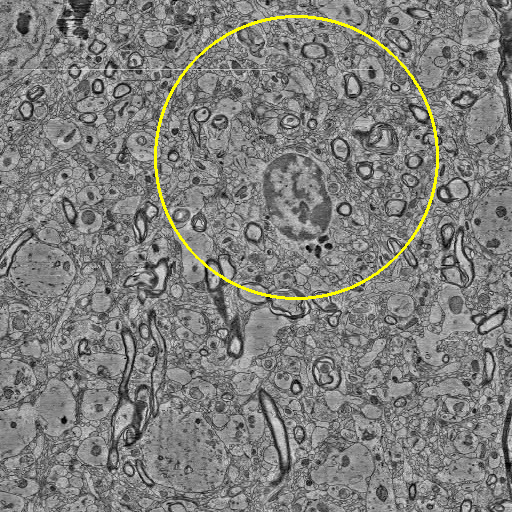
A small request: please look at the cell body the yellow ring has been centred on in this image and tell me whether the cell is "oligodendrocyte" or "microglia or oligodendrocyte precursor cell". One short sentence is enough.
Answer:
The cell marked by the ring is a microglial cell or oligodendrocyte precursor cell.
